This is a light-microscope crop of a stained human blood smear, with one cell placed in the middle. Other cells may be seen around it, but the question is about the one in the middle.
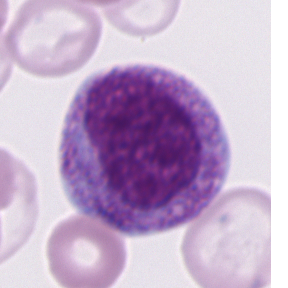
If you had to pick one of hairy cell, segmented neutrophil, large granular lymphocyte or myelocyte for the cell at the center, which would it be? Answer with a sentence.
On this slide crop, the central cell is a myelocyte.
